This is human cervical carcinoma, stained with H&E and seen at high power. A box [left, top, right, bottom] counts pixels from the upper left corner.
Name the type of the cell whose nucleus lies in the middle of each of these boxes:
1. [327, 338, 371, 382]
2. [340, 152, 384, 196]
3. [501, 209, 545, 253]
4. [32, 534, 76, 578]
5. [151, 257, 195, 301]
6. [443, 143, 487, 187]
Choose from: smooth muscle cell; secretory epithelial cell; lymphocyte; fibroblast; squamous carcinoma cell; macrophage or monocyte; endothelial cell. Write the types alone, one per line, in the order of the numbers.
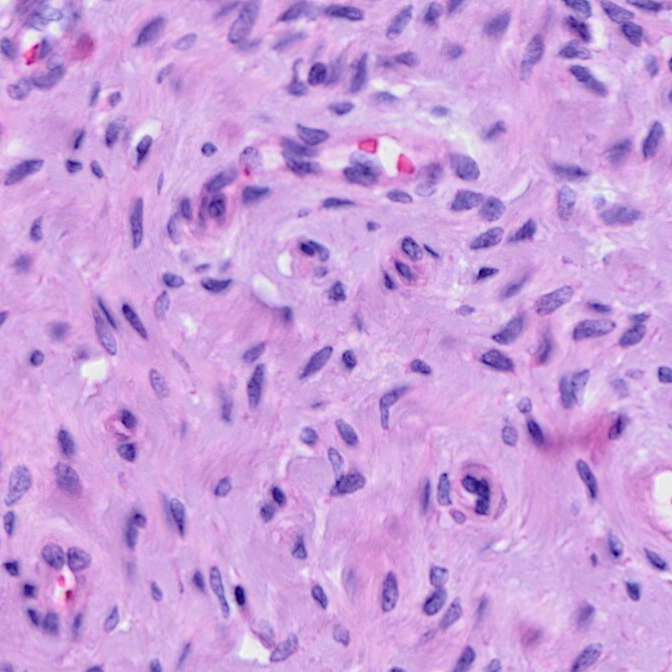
fibroblast
endothelial cell
fibroblast
endothelial cell
fibroblast
fibroblast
